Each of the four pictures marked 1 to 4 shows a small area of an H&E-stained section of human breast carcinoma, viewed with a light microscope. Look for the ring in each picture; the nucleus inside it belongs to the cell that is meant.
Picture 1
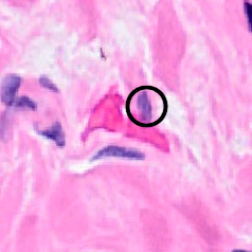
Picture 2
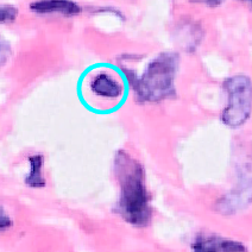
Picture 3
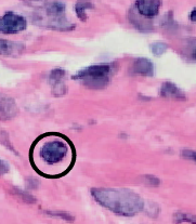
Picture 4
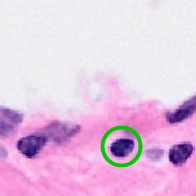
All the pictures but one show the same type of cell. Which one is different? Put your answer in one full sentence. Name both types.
The others show lymphocytes, but picture 1 shows an endothelial cell.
